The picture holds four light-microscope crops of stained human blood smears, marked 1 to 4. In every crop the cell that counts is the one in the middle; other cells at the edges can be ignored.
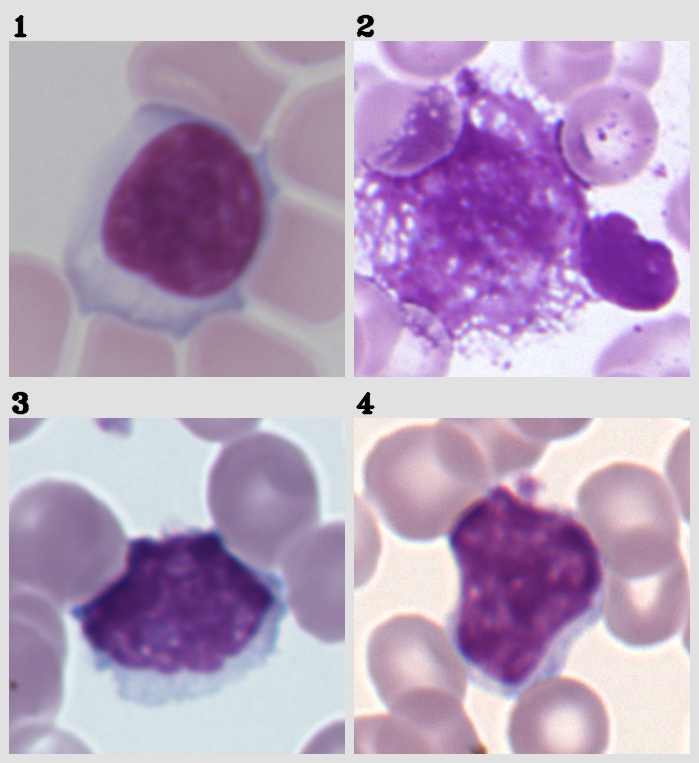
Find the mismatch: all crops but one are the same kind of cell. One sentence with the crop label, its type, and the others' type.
Only in crop 2 is there a smudge cell; all other crops show typical lymphocytes.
